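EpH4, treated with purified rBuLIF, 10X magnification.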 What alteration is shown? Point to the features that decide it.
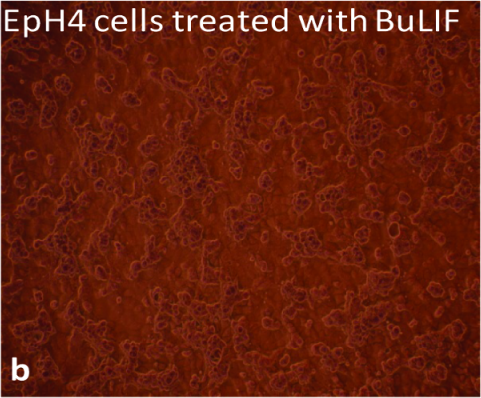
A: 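Many small rounded clumps of cells with bright edges are spread across the field. The even sheet of cells is broken up around the clumps. So: globule structures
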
